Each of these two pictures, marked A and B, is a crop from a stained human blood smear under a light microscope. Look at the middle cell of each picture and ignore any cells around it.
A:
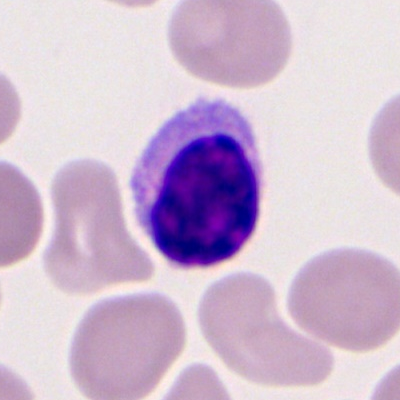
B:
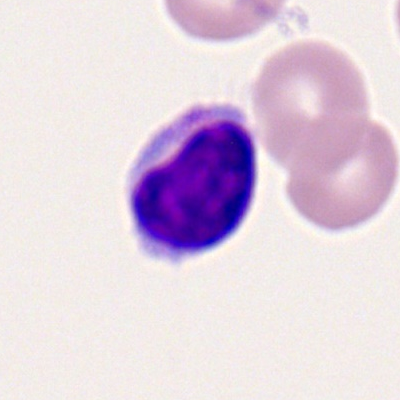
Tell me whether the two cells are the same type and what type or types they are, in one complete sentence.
Yes, with regard to both crops, the central cells are lymphocytes.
